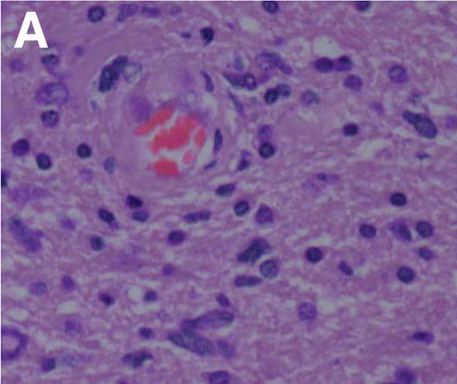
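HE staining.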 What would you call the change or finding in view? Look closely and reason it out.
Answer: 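Nuclei vary markedly in size and shape, from small round to large elongated forms. Several nuclei are dark and hyperchromatic. On this evidence: nuclear split pleomorphism.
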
